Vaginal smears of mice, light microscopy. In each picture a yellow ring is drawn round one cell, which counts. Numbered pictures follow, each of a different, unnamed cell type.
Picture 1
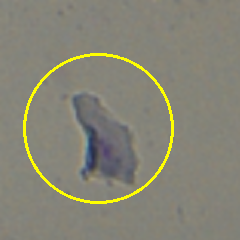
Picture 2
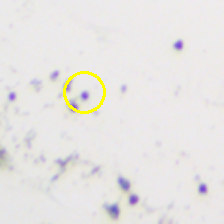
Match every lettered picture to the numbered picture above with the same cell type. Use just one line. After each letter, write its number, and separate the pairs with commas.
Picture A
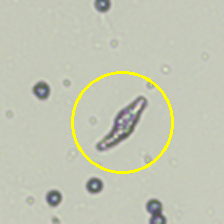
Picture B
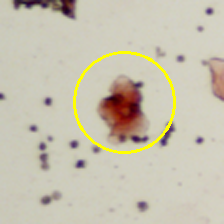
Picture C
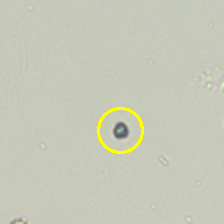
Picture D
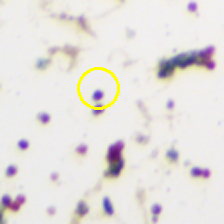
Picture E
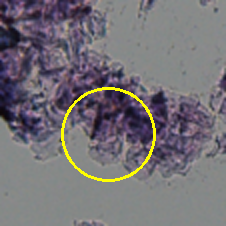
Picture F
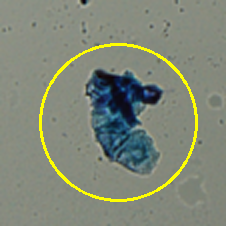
A 1, B 1, C 2, D 2, E 1, F 1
